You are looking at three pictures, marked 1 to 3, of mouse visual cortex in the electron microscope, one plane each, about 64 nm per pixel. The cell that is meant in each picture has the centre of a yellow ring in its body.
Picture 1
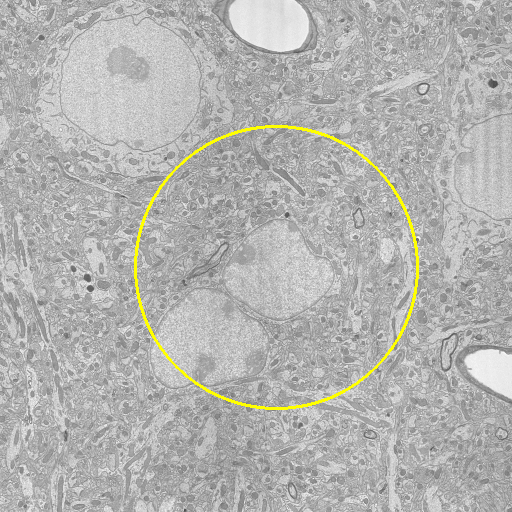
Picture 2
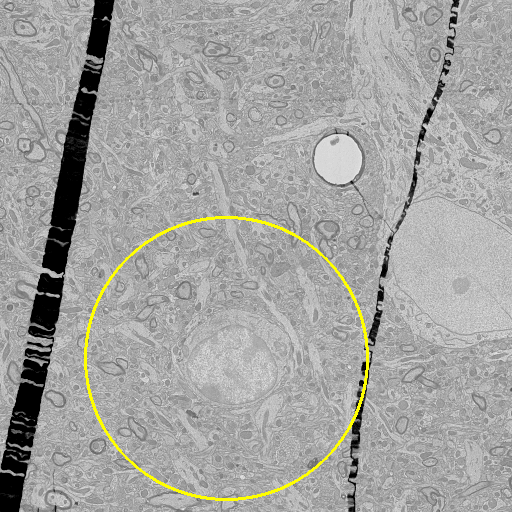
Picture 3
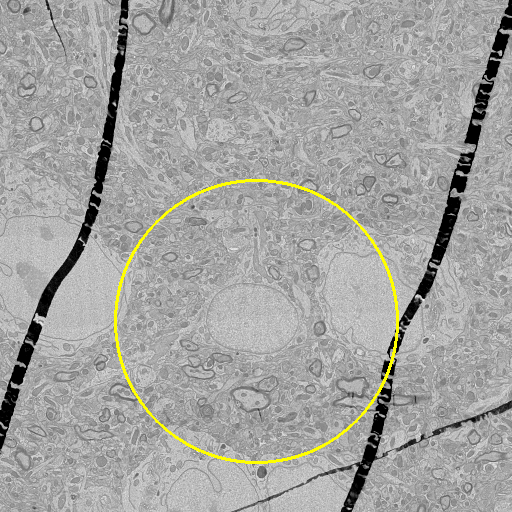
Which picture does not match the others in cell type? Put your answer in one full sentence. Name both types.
The different one is picture 2; it shows an oligodendrocyte, whereas all the others show astrocytes.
